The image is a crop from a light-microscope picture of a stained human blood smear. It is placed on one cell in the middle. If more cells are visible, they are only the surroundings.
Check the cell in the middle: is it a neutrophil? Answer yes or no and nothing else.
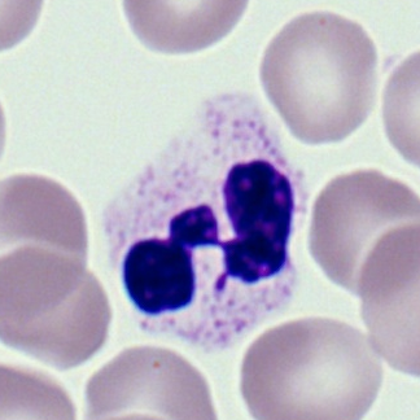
yes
